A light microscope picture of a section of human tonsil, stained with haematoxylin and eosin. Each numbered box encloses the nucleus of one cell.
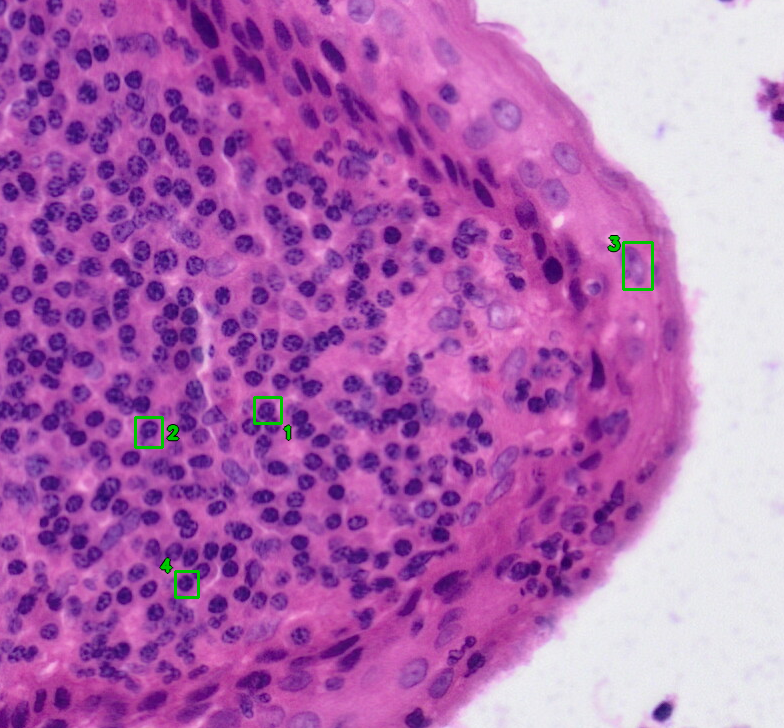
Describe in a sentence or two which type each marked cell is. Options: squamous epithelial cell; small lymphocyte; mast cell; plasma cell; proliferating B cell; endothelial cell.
Cells 1, 2 and 4 are plasma cells. Cell 3 is a squamous epithelial cell.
